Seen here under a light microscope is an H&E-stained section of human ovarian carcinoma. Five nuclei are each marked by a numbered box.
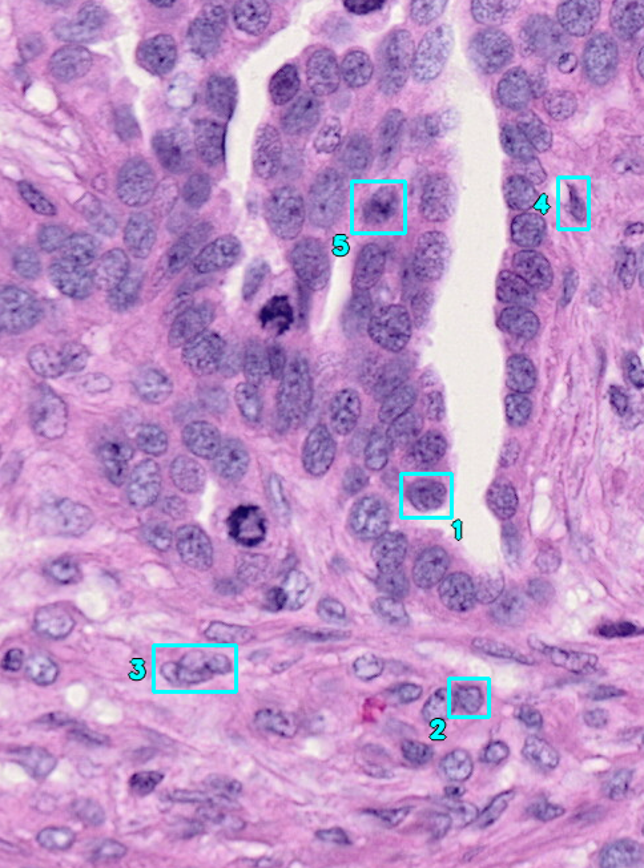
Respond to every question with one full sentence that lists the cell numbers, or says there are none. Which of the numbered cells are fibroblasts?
The cells identified by the numbers 3 and 4 are fibroblasts.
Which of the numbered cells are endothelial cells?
Only the nucleus marked 2 is that of an endothelial cell.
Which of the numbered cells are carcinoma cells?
Only the nucleus marked 1 is that of a carcinoma cell.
